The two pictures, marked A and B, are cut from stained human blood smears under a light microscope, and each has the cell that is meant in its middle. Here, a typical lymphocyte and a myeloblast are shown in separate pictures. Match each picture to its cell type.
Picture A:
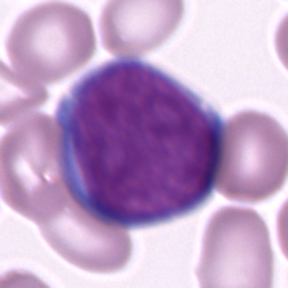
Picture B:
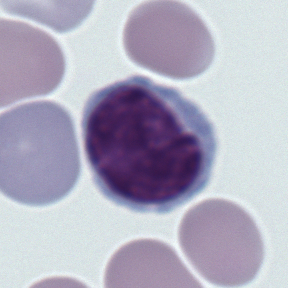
A: myeloblast
B: typical lymphocyte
